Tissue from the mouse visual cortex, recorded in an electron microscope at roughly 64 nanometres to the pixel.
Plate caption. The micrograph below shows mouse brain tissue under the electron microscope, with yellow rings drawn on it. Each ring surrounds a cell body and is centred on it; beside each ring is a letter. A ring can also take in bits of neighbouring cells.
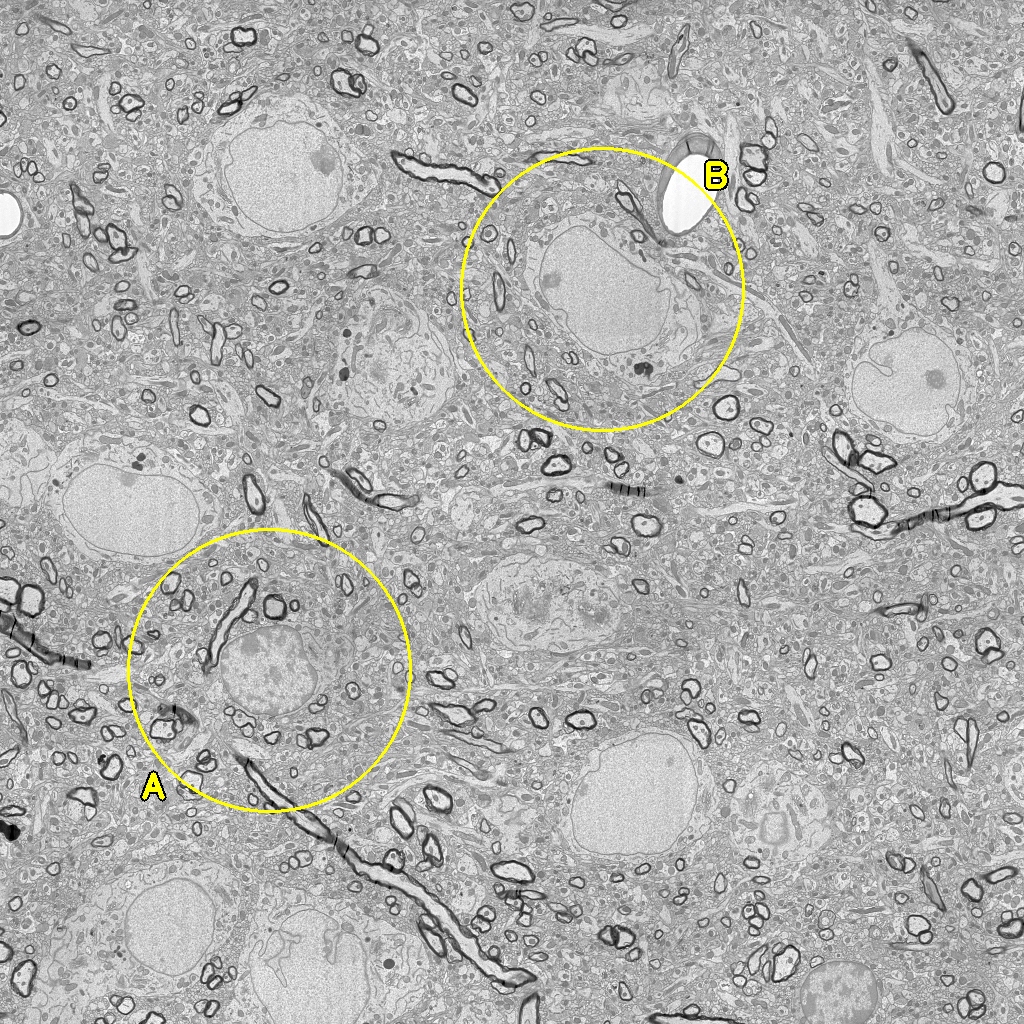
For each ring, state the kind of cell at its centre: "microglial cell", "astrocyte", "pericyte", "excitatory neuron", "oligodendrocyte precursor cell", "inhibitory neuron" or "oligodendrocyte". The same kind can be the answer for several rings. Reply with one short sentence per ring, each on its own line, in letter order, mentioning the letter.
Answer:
Ring A is drawn around an oligodendrocyte.
Ring B is drawn around an excitatory neuron.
